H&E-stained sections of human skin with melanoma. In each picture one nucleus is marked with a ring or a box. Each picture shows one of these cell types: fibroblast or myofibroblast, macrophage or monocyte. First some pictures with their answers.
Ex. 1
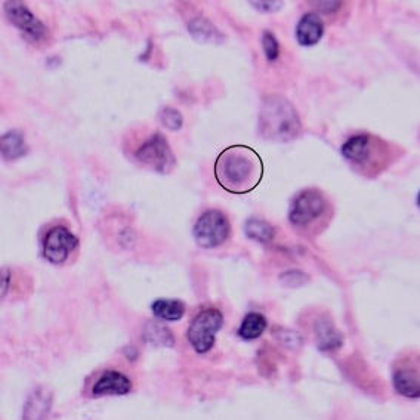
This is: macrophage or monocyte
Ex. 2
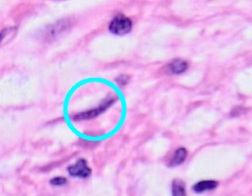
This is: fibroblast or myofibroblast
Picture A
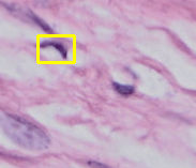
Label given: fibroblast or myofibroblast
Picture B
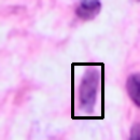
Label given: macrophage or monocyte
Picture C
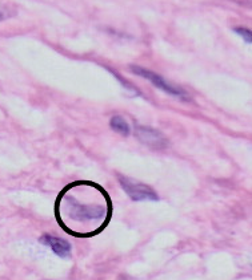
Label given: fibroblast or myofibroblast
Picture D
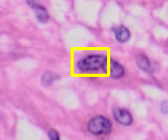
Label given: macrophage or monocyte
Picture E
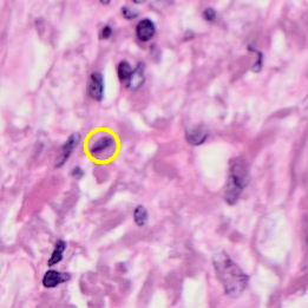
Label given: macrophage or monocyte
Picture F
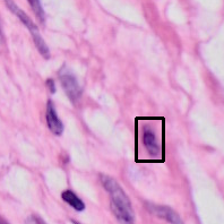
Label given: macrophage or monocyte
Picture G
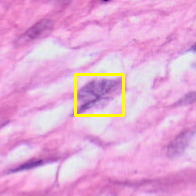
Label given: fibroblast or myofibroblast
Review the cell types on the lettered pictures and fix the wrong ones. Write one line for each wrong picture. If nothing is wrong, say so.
All correct.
